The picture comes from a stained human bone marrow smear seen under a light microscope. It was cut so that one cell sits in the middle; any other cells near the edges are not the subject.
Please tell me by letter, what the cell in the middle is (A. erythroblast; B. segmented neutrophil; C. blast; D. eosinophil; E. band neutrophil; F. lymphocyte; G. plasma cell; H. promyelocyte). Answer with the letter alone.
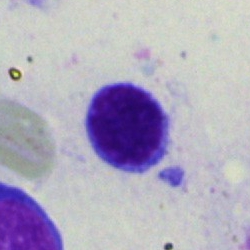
F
